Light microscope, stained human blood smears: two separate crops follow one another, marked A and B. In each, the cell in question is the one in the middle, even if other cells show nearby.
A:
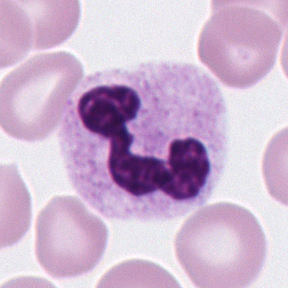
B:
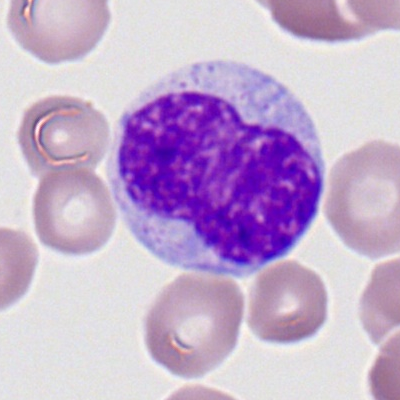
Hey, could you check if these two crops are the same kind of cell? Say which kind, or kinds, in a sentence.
No, crop A gives us a neutrophil and crop B gives us a monocyte.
